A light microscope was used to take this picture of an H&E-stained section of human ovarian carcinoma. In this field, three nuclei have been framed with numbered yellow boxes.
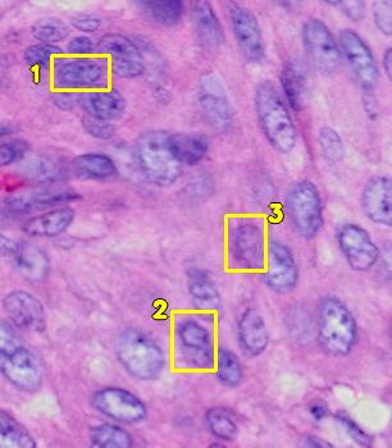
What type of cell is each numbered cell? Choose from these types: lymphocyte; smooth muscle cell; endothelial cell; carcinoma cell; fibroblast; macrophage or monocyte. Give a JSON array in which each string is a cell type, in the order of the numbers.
["carcinoma cell", "fibroblast", "fibroblast"]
